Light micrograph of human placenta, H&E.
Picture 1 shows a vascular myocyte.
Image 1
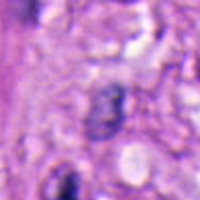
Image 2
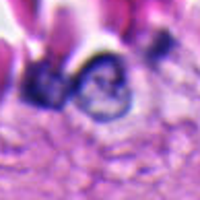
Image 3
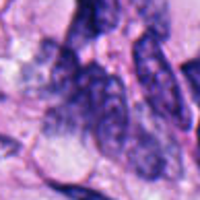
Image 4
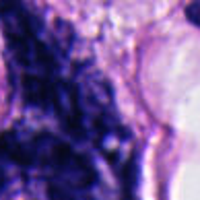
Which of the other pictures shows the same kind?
Picture 2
